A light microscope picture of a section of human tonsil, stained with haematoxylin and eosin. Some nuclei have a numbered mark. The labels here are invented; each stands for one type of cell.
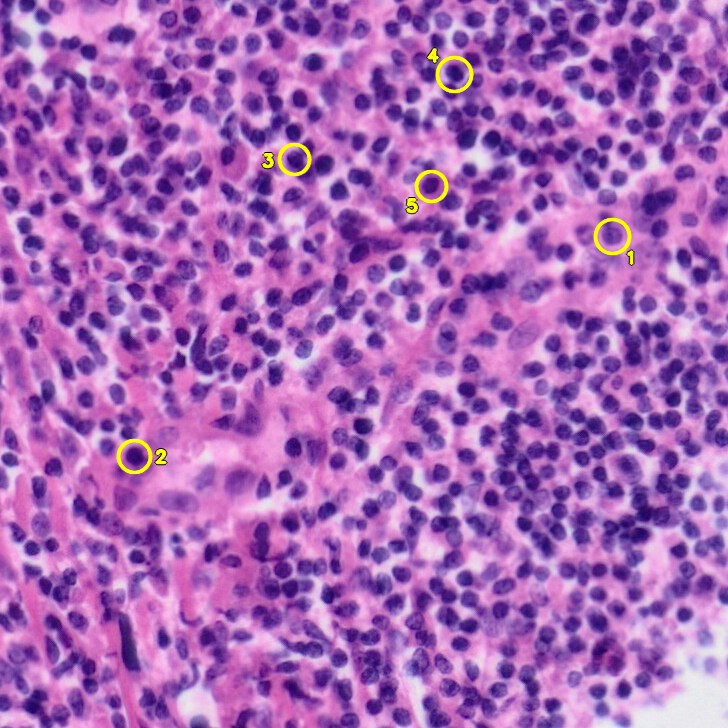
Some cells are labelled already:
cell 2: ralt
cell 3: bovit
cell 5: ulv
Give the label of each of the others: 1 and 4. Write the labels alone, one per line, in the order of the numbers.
ralt
bovit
